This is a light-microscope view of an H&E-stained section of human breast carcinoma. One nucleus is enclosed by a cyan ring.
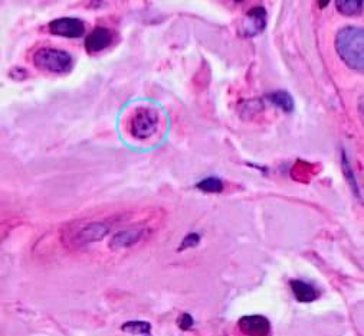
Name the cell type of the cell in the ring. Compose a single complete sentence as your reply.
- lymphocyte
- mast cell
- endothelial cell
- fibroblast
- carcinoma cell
In the stained section, the cell in the ring is a mast cell.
